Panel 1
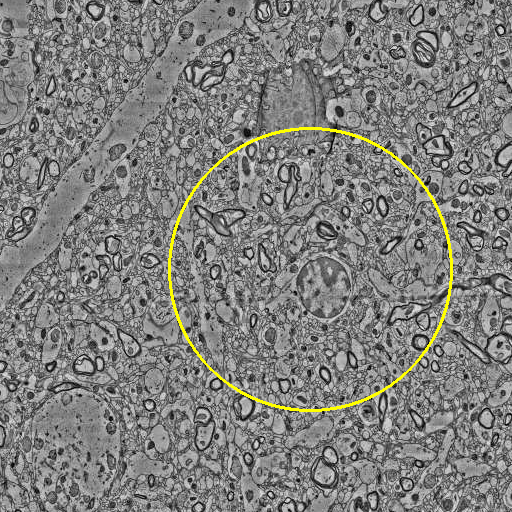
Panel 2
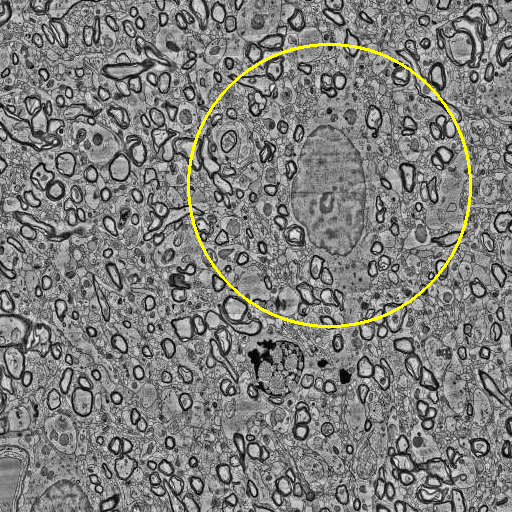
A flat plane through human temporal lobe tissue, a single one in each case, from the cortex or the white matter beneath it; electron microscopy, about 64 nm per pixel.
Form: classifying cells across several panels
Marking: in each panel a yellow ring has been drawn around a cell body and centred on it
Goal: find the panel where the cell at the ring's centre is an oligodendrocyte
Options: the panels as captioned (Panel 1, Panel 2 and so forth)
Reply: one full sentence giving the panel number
Panel 2 shows the wanted cell at the centre of its ring.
